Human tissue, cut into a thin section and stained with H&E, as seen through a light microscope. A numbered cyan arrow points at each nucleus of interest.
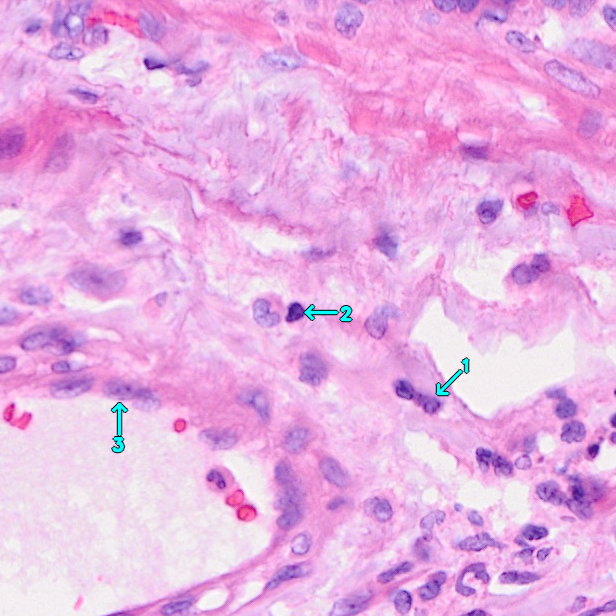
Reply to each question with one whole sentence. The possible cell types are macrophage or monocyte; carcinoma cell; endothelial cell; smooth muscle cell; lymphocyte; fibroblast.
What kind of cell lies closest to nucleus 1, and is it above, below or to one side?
It is a lymphocyte, whose nucleus lies above and to the left of nucleus 1.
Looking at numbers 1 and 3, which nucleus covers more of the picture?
Of the two, number 3 is bigger and takes up about 2 times the area of number 1.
